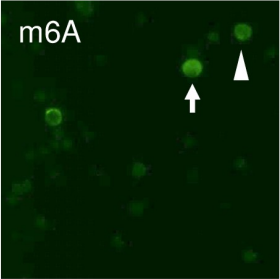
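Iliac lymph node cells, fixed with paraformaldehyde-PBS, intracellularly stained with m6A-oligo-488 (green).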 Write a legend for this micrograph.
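Most cells are small, round and only faintly green. A few cells are markedly brighter, round, with the green concentrated at the cell rim, giving a ring-like appearance around a dimmer centre. One bright cell is marked by an arrow and another, slightly smaller bright cell by an arrowhead; a further bright ring-shaped cell lies to the left. The cells are scattered without contact or tissue arrangement, and no processes are seen.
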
